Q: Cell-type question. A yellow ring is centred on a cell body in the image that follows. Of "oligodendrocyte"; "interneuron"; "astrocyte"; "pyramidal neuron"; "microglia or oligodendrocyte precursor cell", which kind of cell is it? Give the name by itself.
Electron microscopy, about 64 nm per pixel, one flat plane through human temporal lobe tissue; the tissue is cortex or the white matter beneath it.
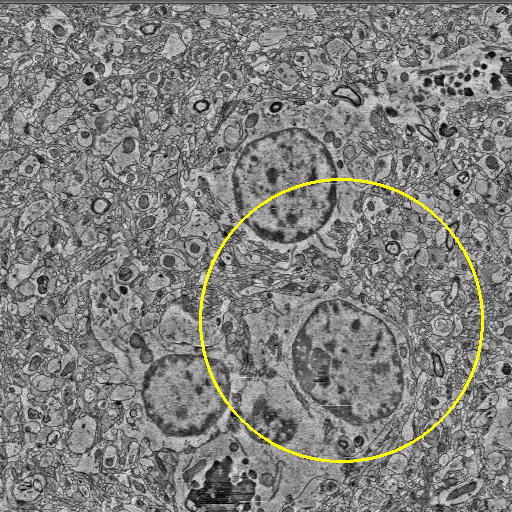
astrocyte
